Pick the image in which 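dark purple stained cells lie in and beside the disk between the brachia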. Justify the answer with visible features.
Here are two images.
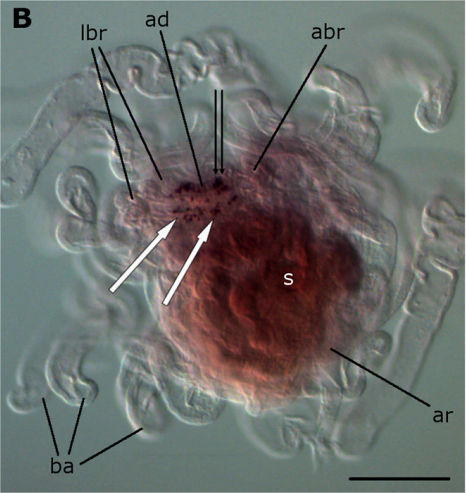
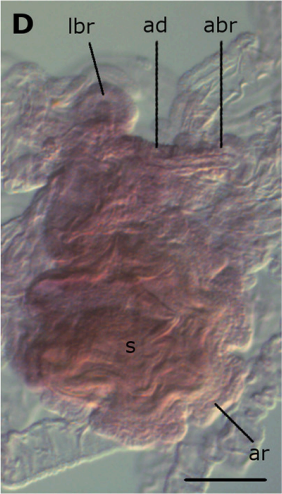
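The first image. Second image: no dark purple spots at the disk between the brachia. First image: a cluster of dark purple spots at and beside the disk between the brachia.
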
